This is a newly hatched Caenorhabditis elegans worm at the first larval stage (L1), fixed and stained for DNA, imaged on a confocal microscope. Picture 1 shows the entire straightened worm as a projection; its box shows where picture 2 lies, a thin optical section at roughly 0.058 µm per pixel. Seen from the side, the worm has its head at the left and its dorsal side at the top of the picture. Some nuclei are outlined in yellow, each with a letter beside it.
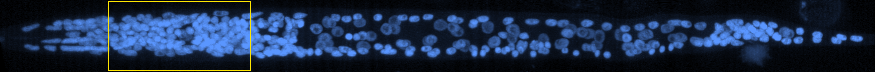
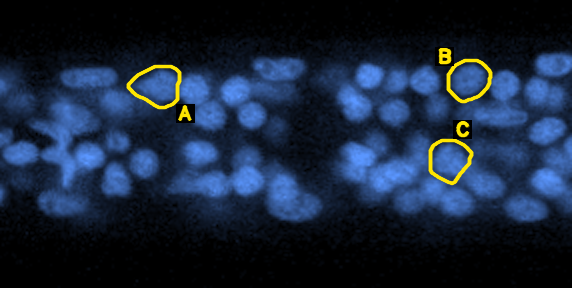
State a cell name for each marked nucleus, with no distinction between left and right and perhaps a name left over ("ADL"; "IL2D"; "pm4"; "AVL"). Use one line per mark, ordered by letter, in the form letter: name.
A: IL2D
B: ADL
C: AVL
